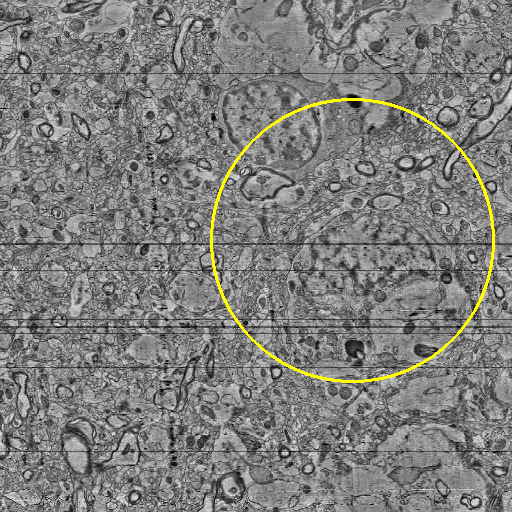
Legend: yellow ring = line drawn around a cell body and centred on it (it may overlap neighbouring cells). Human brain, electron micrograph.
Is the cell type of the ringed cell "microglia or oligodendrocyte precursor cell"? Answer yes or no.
no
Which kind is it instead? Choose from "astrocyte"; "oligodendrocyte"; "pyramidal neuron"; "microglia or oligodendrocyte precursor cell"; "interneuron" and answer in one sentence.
Instead, the picture shows an interneuron at the centre of the ring.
